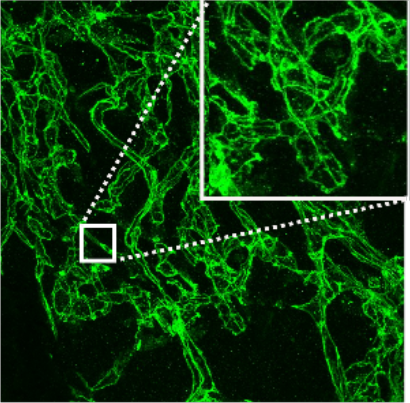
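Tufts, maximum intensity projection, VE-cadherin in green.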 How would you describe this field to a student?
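The green staining traces a crowded tangle of thin, winding lines that outline many small, irregular vessel segments lying over and across one another. The enlarged inset shows these lines as branching, looping outlines of tightly packed vessels rather than an orderly network.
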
